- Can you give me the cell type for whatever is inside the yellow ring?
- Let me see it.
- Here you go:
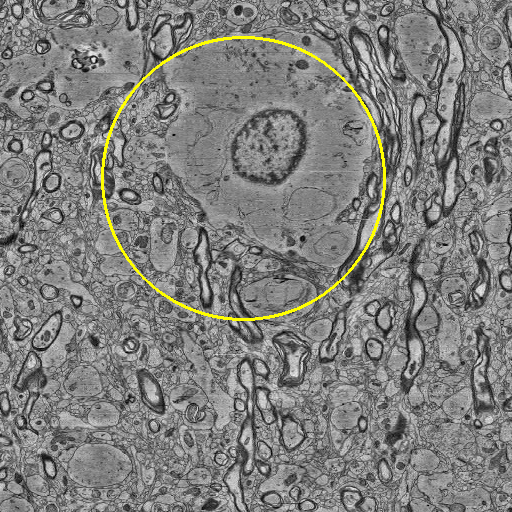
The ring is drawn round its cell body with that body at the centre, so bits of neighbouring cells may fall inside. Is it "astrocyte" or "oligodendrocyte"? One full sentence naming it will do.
The cell body in the middle of the ring in this picture belongs to an astrocyte.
